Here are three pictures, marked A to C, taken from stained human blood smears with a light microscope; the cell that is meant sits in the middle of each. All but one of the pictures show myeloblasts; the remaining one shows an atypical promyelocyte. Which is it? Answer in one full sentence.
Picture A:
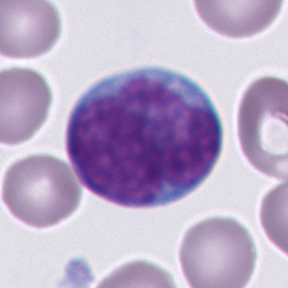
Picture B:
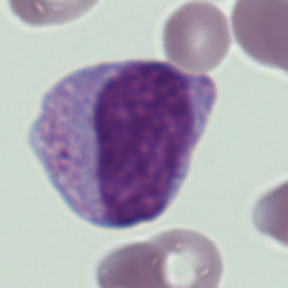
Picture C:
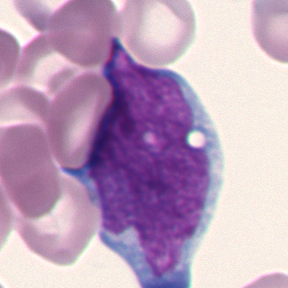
The atypical promyelocyte is the one in picture B.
